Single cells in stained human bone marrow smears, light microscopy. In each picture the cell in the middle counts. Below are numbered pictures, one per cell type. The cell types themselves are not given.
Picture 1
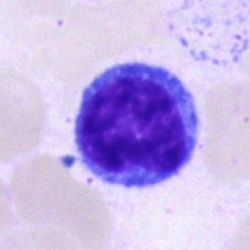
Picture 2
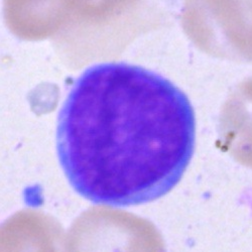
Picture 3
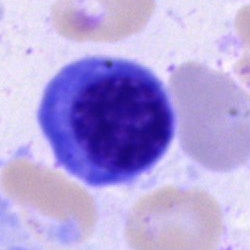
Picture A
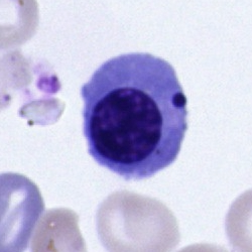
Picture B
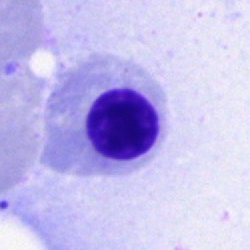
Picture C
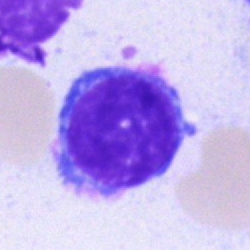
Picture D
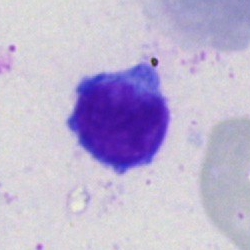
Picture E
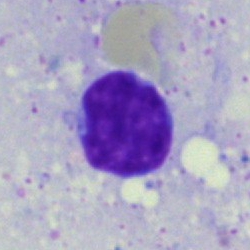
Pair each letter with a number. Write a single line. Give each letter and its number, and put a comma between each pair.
A 3, B 3, C 1, D 1, E 1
